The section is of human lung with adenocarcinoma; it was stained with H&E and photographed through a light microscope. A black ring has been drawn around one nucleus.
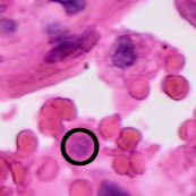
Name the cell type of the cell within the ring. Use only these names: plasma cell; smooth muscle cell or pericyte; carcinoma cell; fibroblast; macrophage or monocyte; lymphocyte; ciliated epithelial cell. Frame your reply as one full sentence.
To be brief about it, the cell within the ring is a macrophage or monocyte.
